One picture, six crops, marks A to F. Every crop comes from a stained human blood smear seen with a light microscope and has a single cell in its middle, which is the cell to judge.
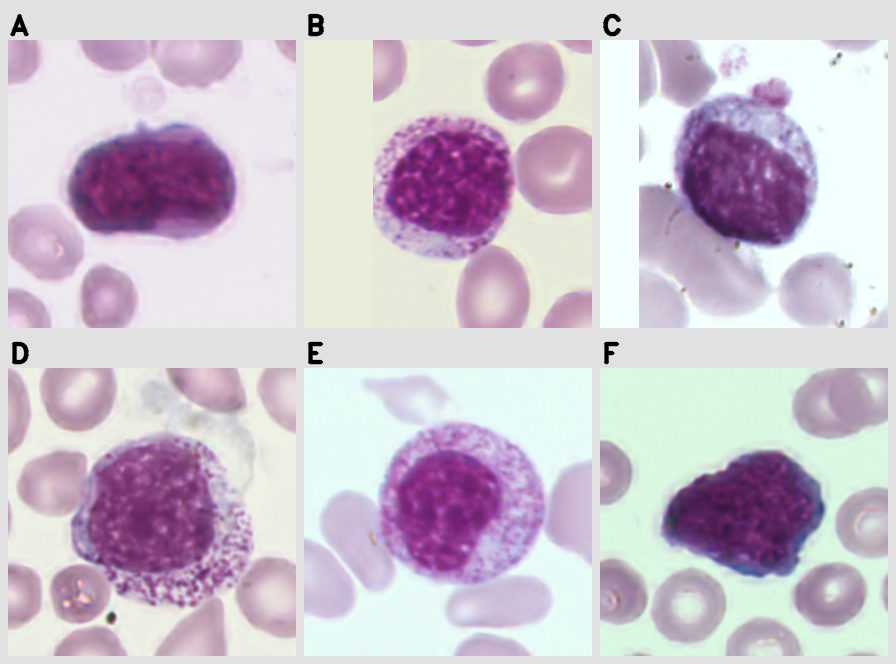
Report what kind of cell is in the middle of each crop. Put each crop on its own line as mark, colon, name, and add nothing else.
A: atypical promyelocyte
B: myelocyte
C: myelocyte
D: myelocyte
E: myelocyte
F: atypical promyelocyte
